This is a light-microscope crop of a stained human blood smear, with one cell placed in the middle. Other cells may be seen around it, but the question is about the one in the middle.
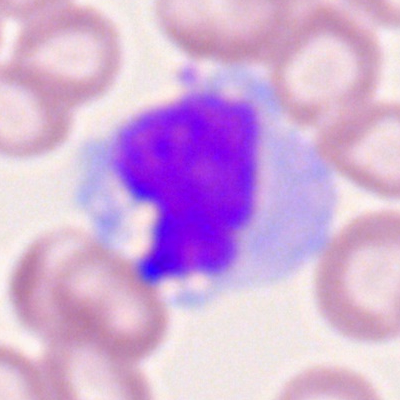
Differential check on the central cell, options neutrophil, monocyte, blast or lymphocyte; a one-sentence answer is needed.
In this crop, the cell at the very middle is a monocyte.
